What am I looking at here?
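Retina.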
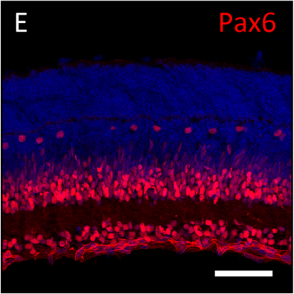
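The thick outermost nuclear layer at the top is blue and unlabelled. Below it, a faint thin band separates it from the middle nuclear layer, along whose outer edge a sparse single row of red nuclei lies. The inner part of the middle nuclear layer is crowded with bright red round nuclei, several rows deep. A darker fibrous band follows, and beneath it the innermost cell layer holds a row of red nuclei, with fine red strands along the inner surface.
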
